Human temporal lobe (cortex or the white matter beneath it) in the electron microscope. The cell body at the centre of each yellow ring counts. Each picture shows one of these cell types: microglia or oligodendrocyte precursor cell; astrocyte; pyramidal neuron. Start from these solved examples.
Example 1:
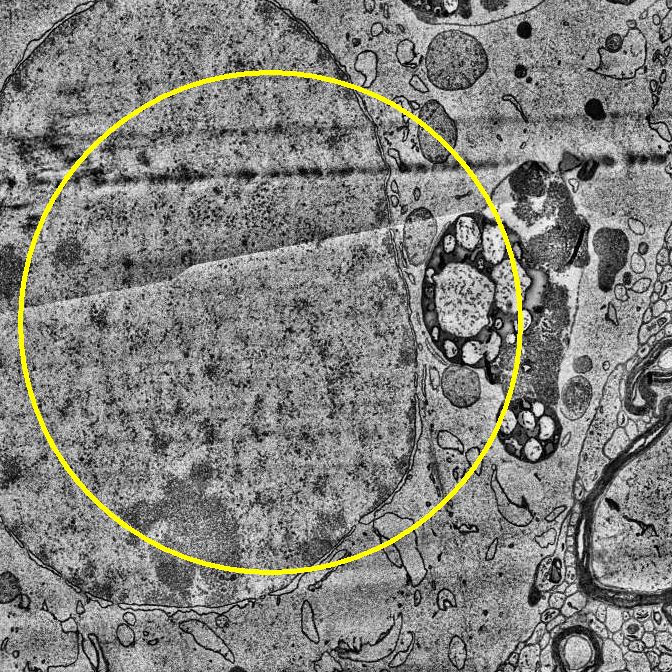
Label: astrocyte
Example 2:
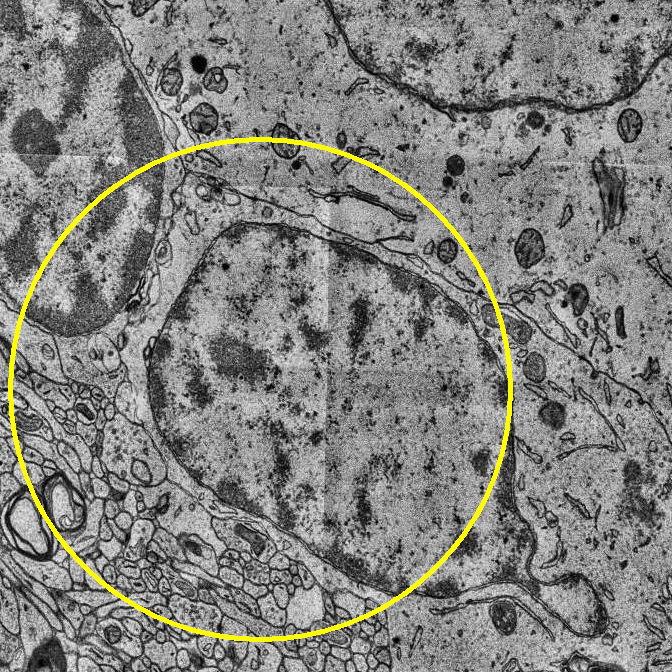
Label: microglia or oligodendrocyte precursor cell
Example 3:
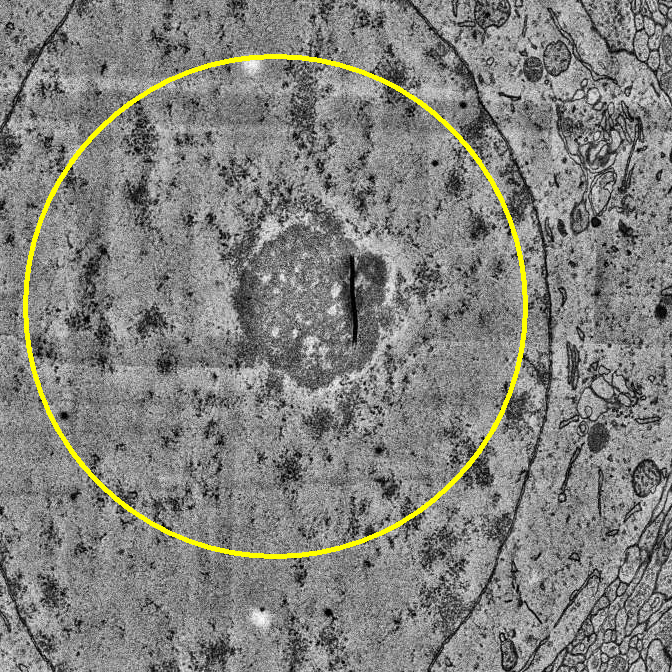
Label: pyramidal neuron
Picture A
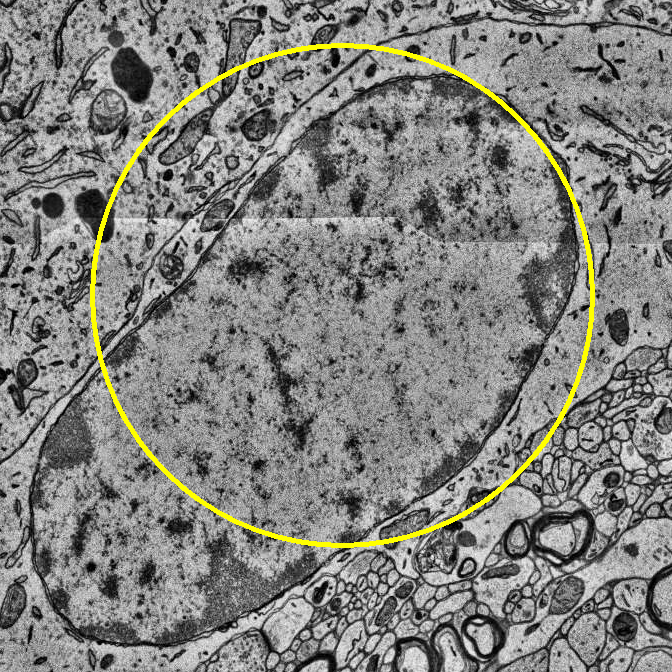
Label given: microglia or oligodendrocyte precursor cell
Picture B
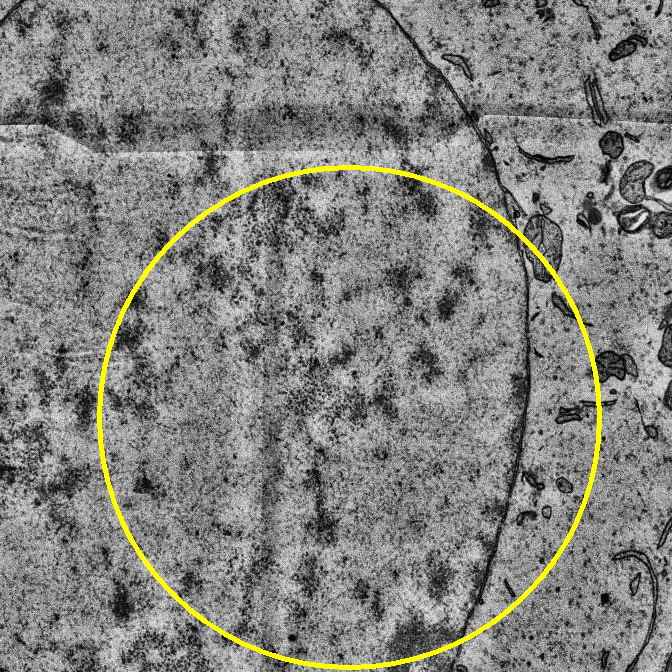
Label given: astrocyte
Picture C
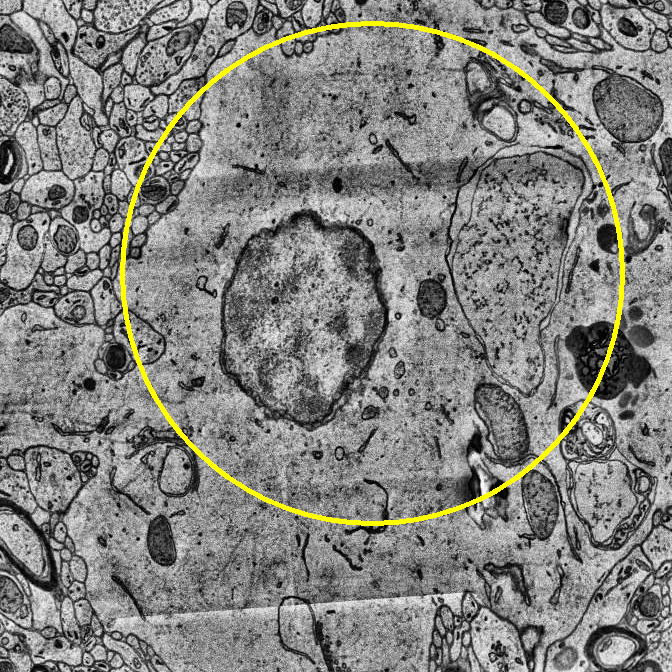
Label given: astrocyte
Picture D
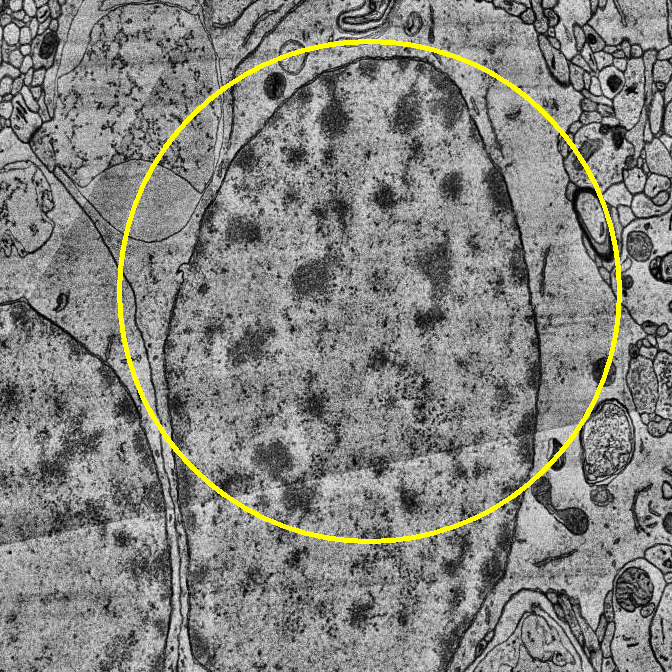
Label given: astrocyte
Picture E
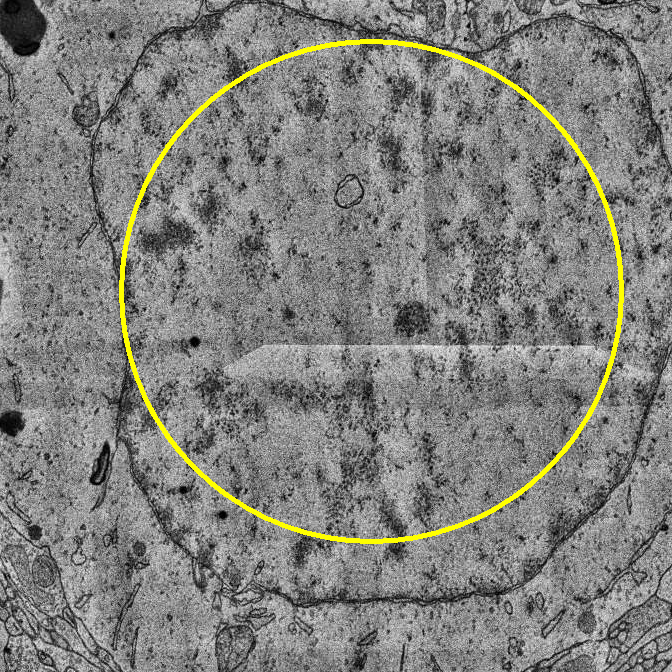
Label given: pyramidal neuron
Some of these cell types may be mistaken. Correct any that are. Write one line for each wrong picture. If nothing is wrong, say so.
B: change astrocyte to pyramidal neuron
